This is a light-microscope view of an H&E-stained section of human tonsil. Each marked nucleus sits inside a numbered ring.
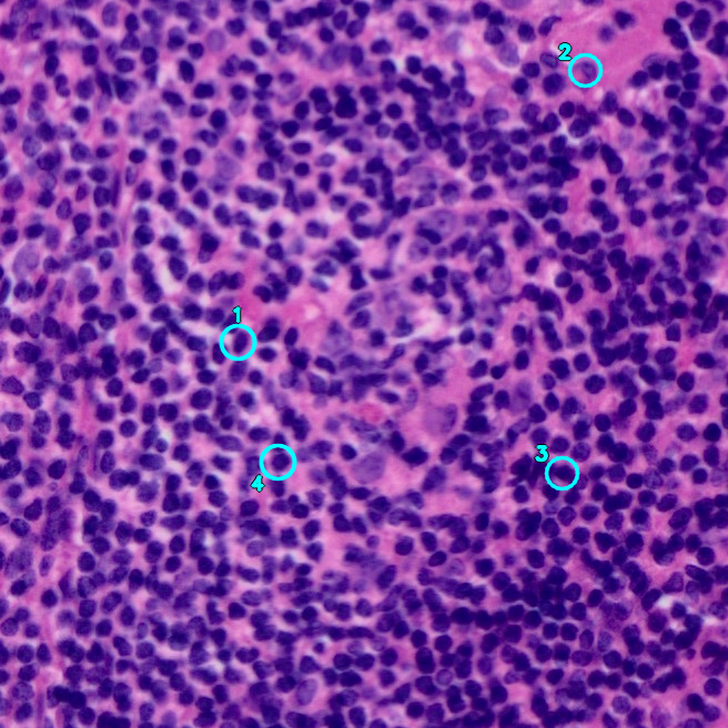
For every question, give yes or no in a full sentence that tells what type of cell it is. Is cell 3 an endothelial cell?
No, the cell indicated by 3 is a small lymphocyte instead of an endothelial cell.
